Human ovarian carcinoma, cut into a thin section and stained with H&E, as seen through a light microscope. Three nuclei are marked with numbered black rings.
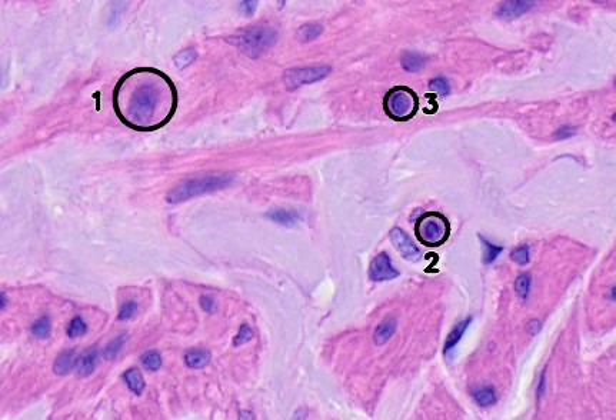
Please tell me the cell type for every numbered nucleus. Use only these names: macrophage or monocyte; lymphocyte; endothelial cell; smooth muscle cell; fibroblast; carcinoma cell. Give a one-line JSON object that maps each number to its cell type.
{"1": "smooth muscle cell", "2": "endothelial cell", "3": "smooth muscle cell"}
